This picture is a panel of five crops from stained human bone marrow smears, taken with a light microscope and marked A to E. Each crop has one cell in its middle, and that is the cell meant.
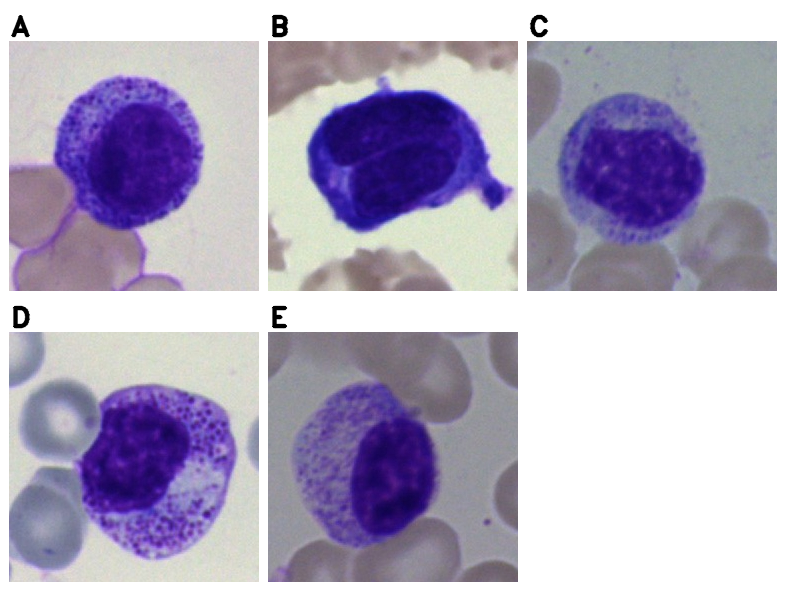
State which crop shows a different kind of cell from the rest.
B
